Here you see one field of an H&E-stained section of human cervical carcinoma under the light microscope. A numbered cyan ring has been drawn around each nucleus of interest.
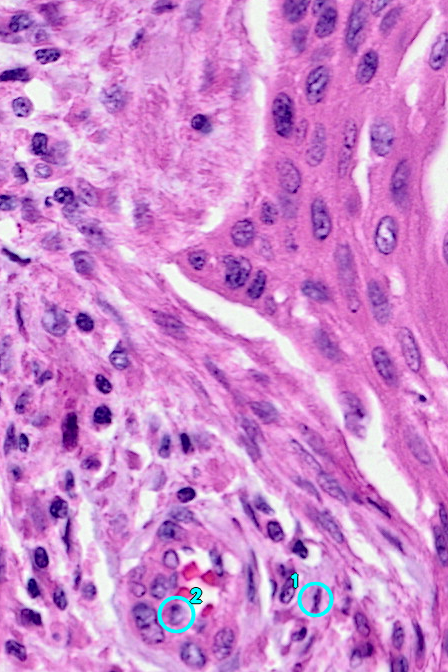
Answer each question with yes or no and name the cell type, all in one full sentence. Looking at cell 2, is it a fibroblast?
No, the cell at marker 2 is not a fibroblast; it is an endothelial cell.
